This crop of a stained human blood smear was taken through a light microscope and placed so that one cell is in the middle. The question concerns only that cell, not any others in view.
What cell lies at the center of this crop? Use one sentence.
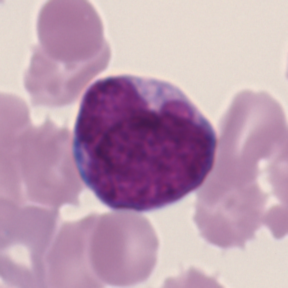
The cell nearest the centre of this crop is a myeloblast.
